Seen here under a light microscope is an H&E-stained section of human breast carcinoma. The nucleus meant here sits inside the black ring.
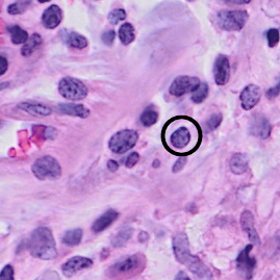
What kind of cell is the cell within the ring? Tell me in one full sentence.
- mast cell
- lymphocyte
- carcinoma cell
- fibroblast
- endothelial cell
Typologically, the cell within the ring is a lymphocyte in this section.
